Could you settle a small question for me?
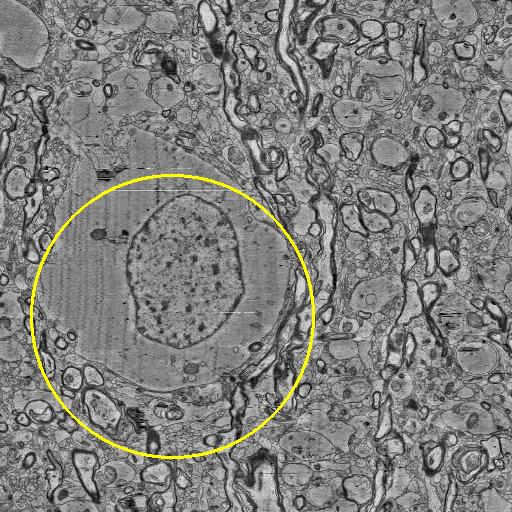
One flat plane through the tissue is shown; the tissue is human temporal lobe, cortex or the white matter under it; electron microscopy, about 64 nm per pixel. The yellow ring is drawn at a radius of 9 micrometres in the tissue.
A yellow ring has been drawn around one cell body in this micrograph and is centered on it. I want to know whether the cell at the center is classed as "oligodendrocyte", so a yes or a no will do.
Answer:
no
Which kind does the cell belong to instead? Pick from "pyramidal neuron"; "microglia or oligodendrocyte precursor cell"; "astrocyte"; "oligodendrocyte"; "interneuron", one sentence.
Sitting at the ring centre is an astrocyte.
